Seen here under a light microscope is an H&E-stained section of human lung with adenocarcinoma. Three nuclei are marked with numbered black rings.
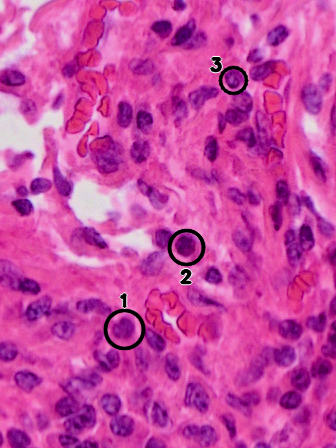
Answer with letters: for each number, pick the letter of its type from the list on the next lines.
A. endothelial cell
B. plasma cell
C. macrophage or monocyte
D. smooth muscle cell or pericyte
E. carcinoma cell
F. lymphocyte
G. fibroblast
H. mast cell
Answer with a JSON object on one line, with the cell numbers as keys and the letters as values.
{"1": "B", "2": "B", "3": "F"}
